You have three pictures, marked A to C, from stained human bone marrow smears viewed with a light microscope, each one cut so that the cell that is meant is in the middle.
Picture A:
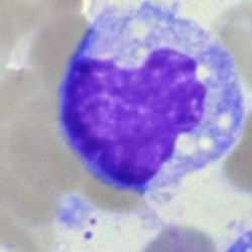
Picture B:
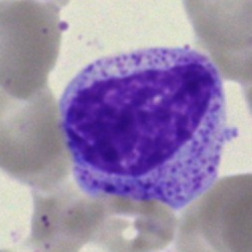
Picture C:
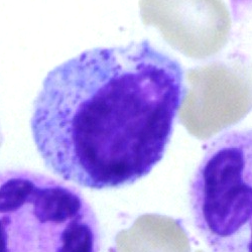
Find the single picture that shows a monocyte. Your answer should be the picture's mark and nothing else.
A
